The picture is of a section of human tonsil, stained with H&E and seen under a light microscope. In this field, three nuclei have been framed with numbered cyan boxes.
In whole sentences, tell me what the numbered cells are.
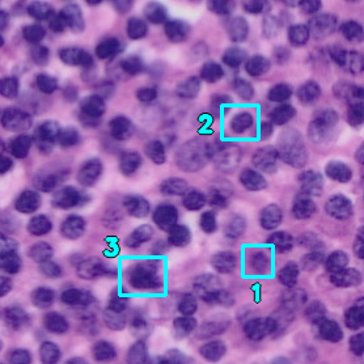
Cell 1 is a plasma cell, cell 2 is a small lymphocyte and cell 3 is a proliferating B cell.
